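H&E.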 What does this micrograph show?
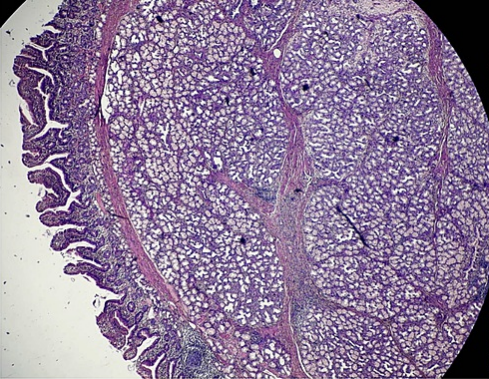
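This is a low-power view of intestinal wall with hyperplastic Brunner's glands below the mucosa. At the left edge lies a mucosa with finger-like villi lined by columnar epithelium. Beneath it, nearly the whole field is filled by crowded lobules of pale, clear to foamy glandular acini. Pink fibrous septa run through the gland mass and divide it into lobules. A few small blue clusters of lymphocytes sit within the septa.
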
